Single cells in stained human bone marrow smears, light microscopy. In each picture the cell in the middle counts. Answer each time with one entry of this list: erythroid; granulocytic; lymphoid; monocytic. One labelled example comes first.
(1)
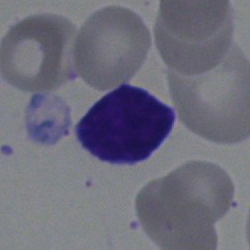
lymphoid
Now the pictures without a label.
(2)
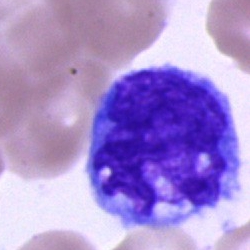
monocytic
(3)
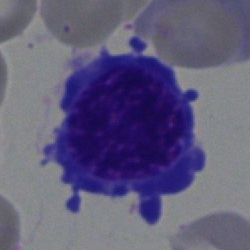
erythroid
